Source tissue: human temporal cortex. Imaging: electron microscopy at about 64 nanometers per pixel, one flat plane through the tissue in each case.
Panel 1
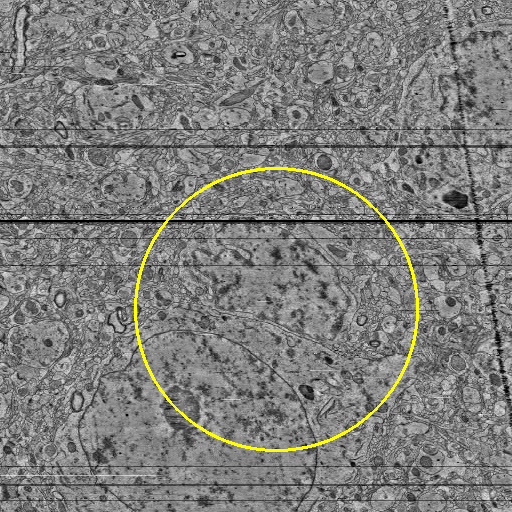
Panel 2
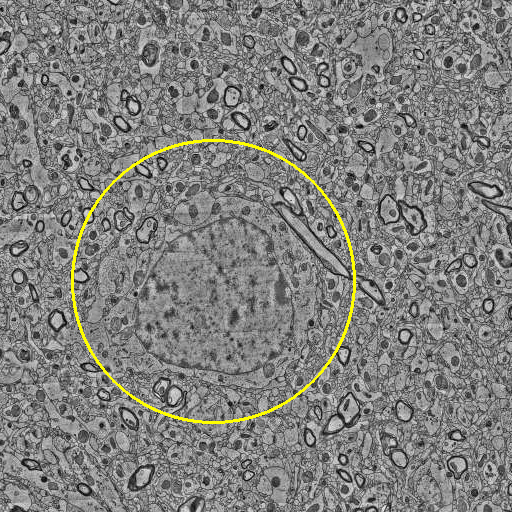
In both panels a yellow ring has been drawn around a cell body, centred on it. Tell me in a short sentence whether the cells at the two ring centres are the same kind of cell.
Yes, they are the same kind of cell.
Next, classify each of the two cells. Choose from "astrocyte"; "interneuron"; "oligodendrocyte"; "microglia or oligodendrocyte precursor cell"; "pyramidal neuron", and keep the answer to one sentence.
In the first picture and in the second, the ring is centred on an interneuron.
